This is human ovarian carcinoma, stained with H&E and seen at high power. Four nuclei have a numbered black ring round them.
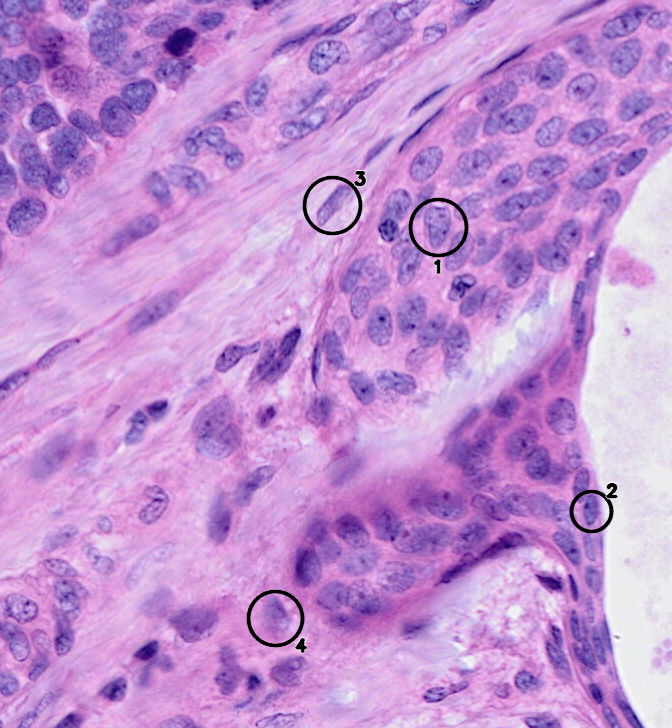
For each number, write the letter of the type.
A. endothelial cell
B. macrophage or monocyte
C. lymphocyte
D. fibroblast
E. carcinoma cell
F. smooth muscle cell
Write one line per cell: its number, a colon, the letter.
1: E
2: E
3: D
4: D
